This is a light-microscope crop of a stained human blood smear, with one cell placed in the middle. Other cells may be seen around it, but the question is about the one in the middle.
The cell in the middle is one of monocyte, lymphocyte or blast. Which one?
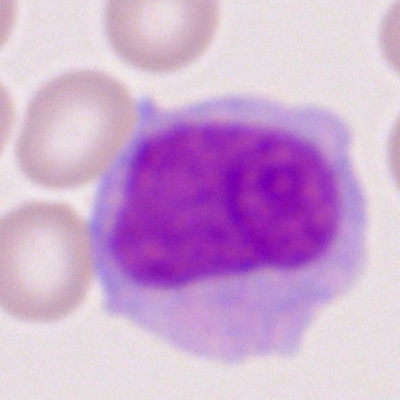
monocyte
